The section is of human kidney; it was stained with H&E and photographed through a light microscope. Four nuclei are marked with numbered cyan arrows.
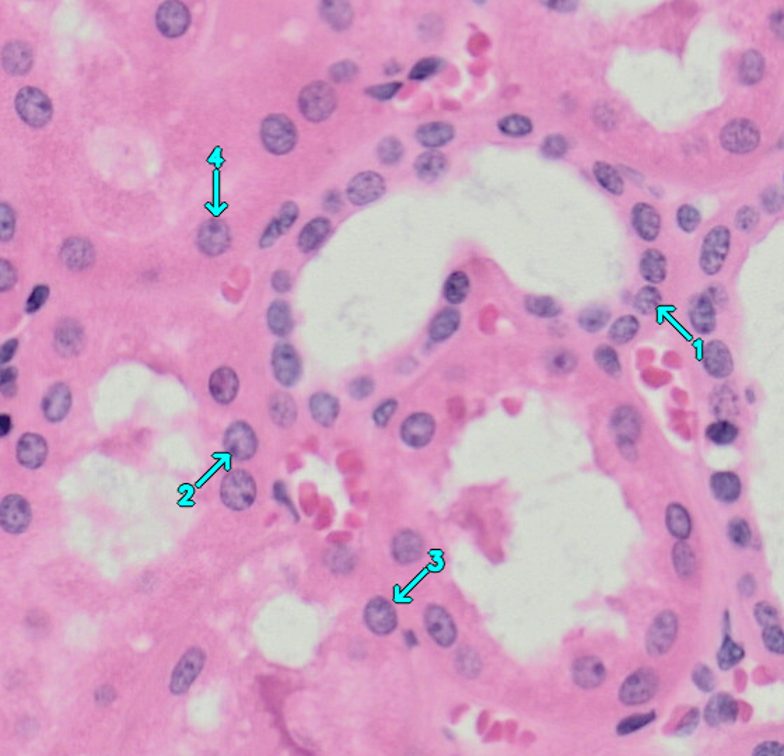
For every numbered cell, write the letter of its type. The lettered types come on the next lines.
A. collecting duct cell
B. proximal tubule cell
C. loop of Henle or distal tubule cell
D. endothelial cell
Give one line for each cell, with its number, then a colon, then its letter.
1: A
2: B
3: B
4: B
